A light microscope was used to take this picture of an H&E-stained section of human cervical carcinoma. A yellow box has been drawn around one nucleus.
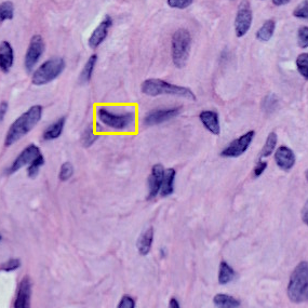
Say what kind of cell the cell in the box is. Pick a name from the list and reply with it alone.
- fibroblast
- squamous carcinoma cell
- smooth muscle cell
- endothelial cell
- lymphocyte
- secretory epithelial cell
fibroblast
